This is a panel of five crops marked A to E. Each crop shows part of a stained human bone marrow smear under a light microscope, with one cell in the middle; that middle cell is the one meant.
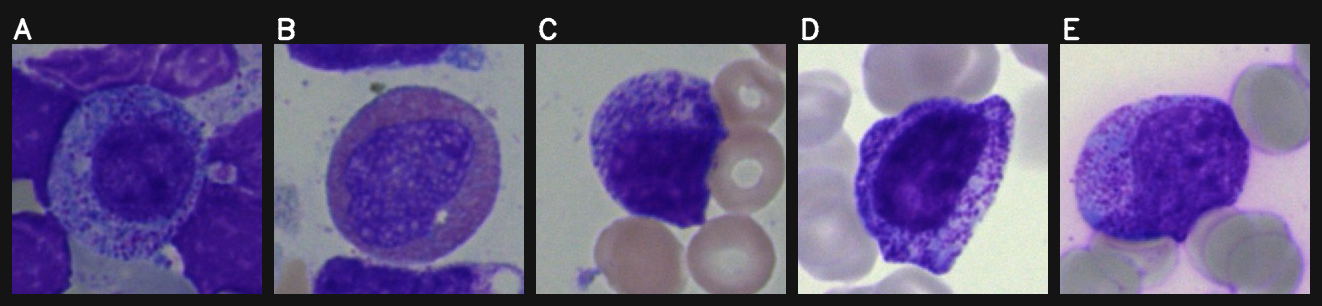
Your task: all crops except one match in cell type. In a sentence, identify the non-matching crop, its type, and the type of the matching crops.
Among these crops, myelocytes occur in all but crop B, which contains an eosinophil.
